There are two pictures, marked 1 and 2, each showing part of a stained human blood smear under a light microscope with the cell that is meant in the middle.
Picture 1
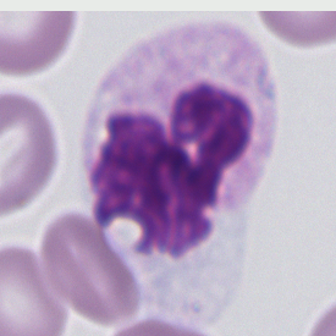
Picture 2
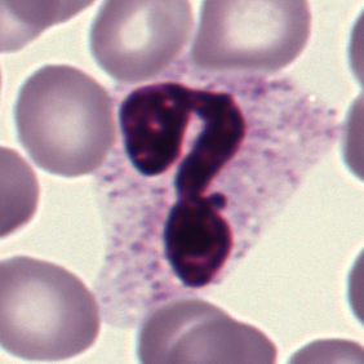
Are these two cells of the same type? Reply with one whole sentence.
Yes, both cells are segmented neutrophils.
